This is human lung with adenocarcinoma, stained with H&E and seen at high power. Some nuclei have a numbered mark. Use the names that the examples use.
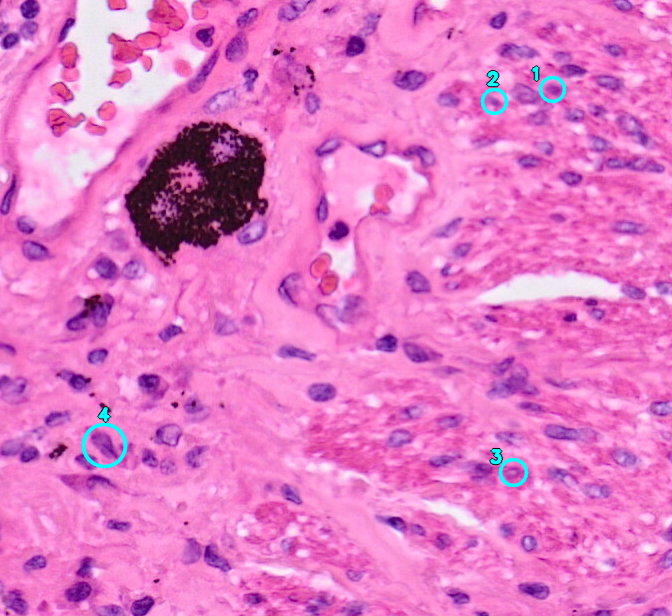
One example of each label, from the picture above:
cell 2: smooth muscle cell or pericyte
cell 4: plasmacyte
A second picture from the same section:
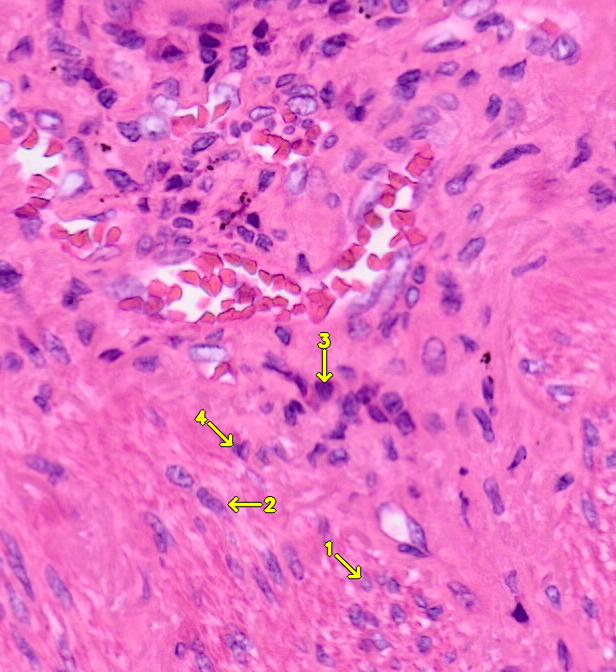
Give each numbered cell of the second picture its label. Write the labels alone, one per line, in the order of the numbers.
smooth muscle cell or pericyte
smooth muscle cell or pericyte
plasmacyte
smooth muscle cell or pericyte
